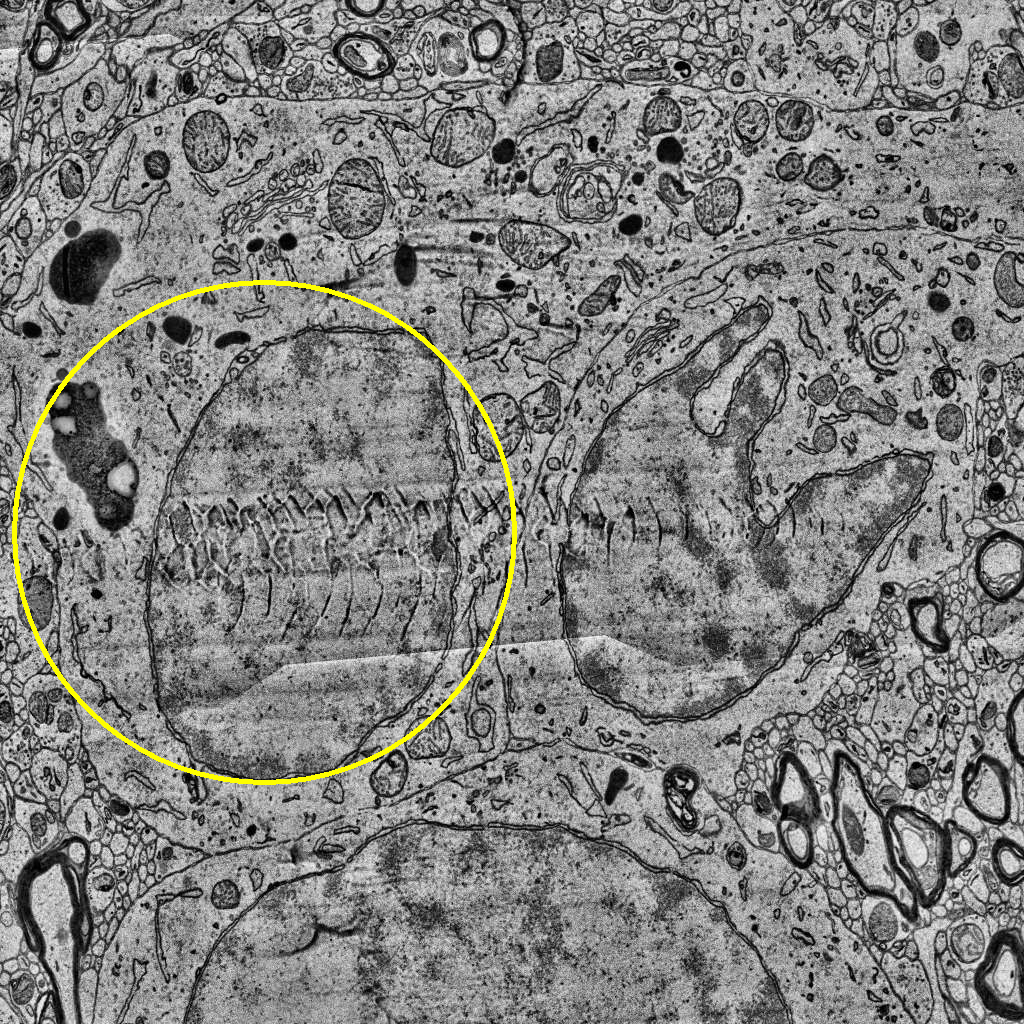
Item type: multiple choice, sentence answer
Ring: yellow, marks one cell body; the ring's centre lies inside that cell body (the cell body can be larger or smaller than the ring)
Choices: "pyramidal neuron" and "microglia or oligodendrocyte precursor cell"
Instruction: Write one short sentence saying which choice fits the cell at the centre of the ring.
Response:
The centre of this ring lies on a pyramidal neuron.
